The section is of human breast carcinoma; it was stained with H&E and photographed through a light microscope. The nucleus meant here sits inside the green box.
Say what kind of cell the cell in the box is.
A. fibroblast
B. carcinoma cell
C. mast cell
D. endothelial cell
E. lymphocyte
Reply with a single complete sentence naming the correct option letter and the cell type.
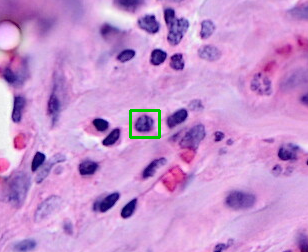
The correct option here, C, identifies the cell in the box as a mast cell.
